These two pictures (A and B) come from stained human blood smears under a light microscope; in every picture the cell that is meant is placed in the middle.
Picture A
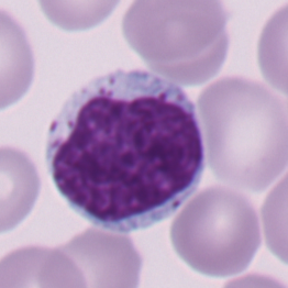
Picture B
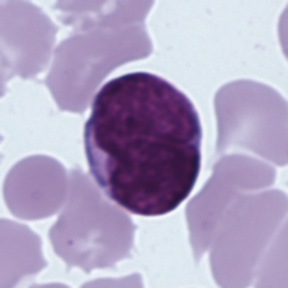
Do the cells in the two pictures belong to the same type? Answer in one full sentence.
No. Picture A shows a large granular lymphocyte, but picture B shows a myeloblast.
